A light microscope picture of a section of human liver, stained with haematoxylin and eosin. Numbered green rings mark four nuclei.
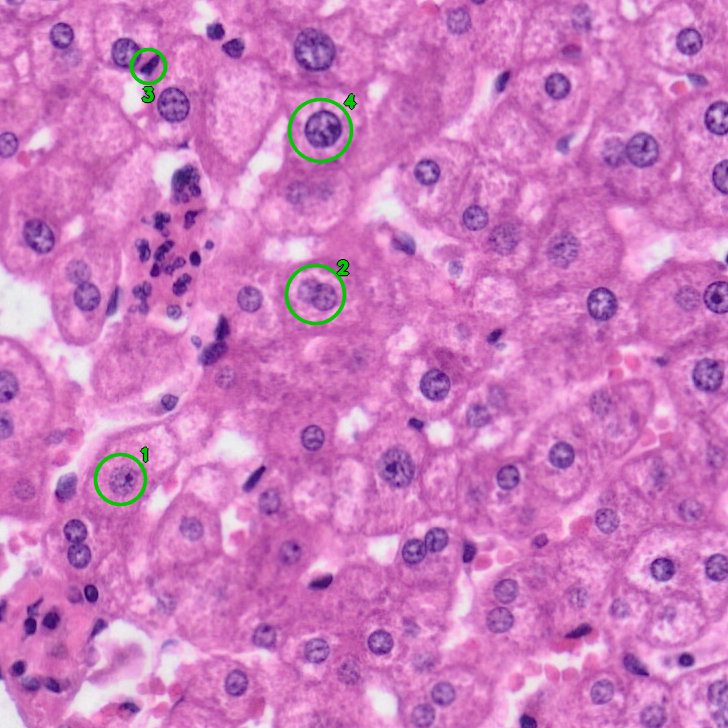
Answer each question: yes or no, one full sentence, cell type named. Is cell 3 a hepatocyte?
No, the cell with the number 3 is a fibroblast or stellate cell, not a hepatocyte.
